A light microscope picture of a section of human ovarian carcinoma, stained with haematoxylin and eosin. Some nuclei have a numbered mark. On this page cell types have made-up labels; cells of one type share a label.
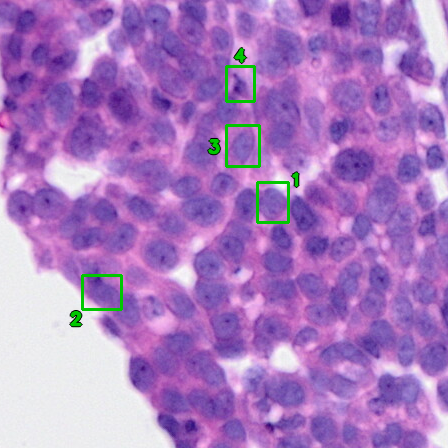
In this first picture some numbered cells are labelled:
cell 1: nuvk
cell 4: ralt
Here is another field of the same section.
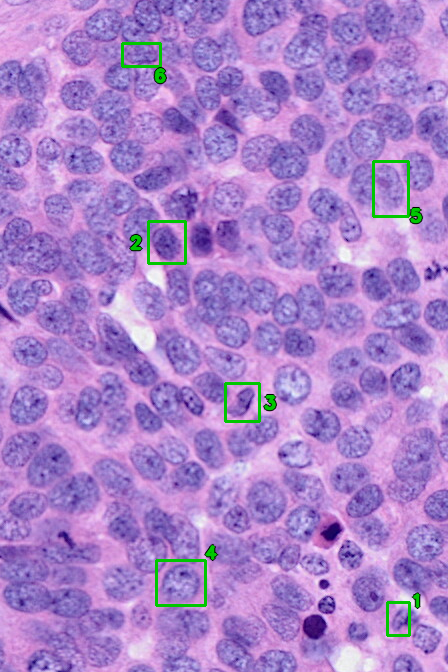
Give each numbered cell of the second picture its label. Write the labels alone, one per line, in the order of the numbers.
ralt
nuvk
ralt
nuvk
nuvk
nuvk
